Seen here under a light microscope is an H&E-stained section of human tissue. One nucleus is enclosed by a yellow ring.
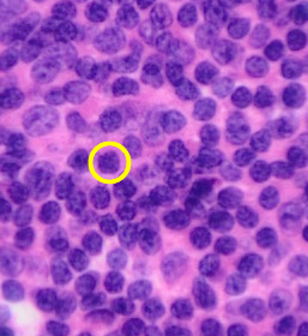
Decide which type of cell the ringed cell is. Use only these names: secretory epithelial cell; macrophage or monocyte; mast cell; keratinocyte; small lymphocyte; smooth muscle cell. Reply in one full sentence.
It is as a small lymphocyte that the ringed cell is classified.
